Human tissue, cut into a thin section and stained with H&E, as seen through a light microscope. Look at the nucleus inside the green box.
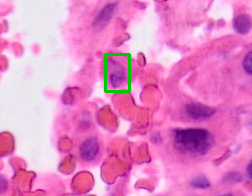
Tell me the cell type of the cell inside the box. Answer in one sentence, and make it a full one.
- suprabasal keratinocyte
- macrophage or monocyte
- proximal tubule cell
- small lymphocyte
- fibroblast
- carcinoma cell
Histopathologically, the cell inside the box is a macrophage or monocyte.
